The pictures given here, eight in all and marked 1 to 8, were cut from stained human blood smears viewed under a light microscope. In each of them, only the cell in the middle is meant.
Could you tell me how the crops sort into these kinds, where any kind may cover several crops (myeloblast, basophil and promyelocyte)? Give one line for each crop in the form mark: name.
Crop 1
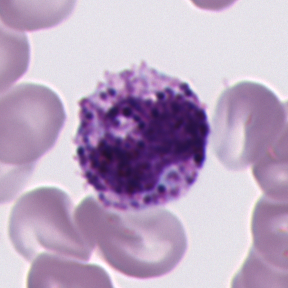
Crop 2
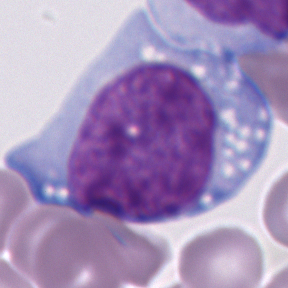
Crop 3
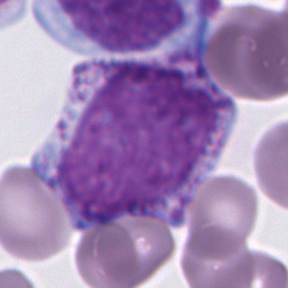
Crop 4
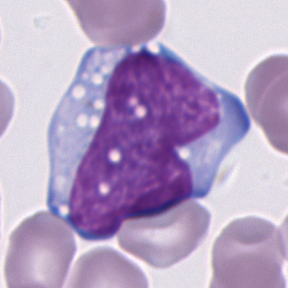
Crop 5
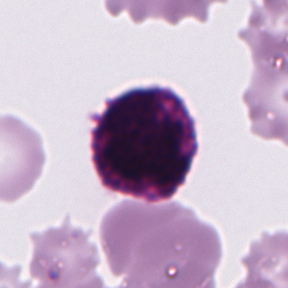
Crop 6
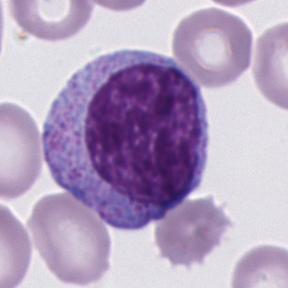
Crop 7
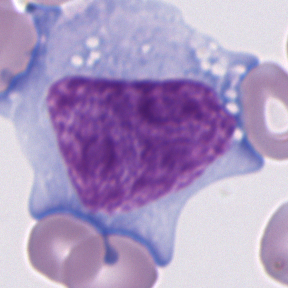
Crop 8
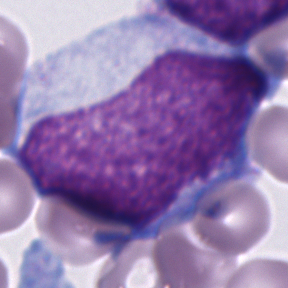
1: basophil
2: myeloblast
3: promyelocyte
4: myeloblast
5: basophil
6: promyelocyte
7: myeloblast
8: promyelocyte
